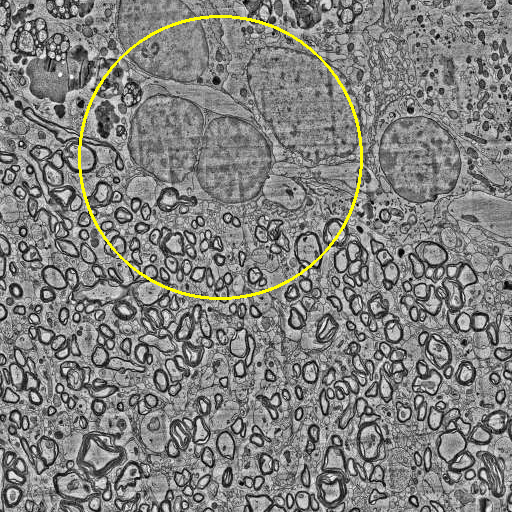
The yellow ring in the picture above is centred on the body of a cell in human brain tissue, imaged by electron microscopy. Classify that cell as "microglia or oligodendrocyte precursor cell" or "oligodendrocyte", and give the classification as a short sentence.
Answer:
The cell in the middle of the ring is an oligodendrocyte.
